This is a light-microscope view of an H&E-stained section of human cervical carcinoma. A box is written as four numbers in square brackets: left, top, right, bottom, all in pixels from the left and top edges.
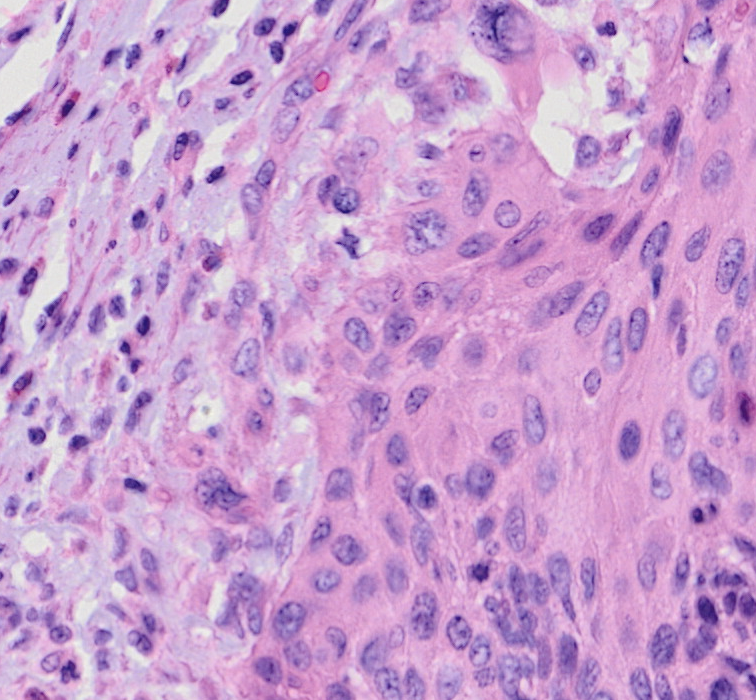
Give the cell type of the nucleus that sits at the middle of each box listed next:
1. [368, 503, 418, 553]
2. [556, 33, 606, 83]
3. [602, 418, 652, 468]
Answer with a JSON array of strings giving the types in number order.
["squamous carcinoma cell", "macrophage or monocyte", "squamous carcinoma cell"]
